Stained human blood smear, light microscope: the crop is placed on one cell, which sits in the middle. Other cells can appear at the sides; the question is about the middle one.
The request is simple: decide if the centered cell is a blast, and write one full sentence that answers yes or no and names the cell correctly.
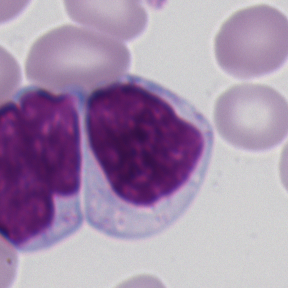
No, it is not a blast that lies in the middle but a large granular lymphocyte.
